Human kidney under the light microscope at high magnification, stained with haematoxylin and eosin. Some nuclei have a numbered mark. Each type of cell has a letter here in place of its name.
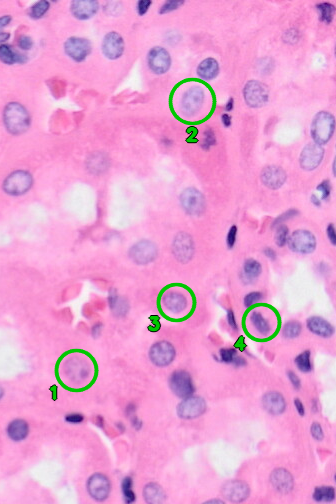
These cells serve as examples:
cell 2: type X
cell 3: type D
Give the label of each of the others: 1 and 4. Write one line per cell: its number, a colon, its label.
1: type D
4: type X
